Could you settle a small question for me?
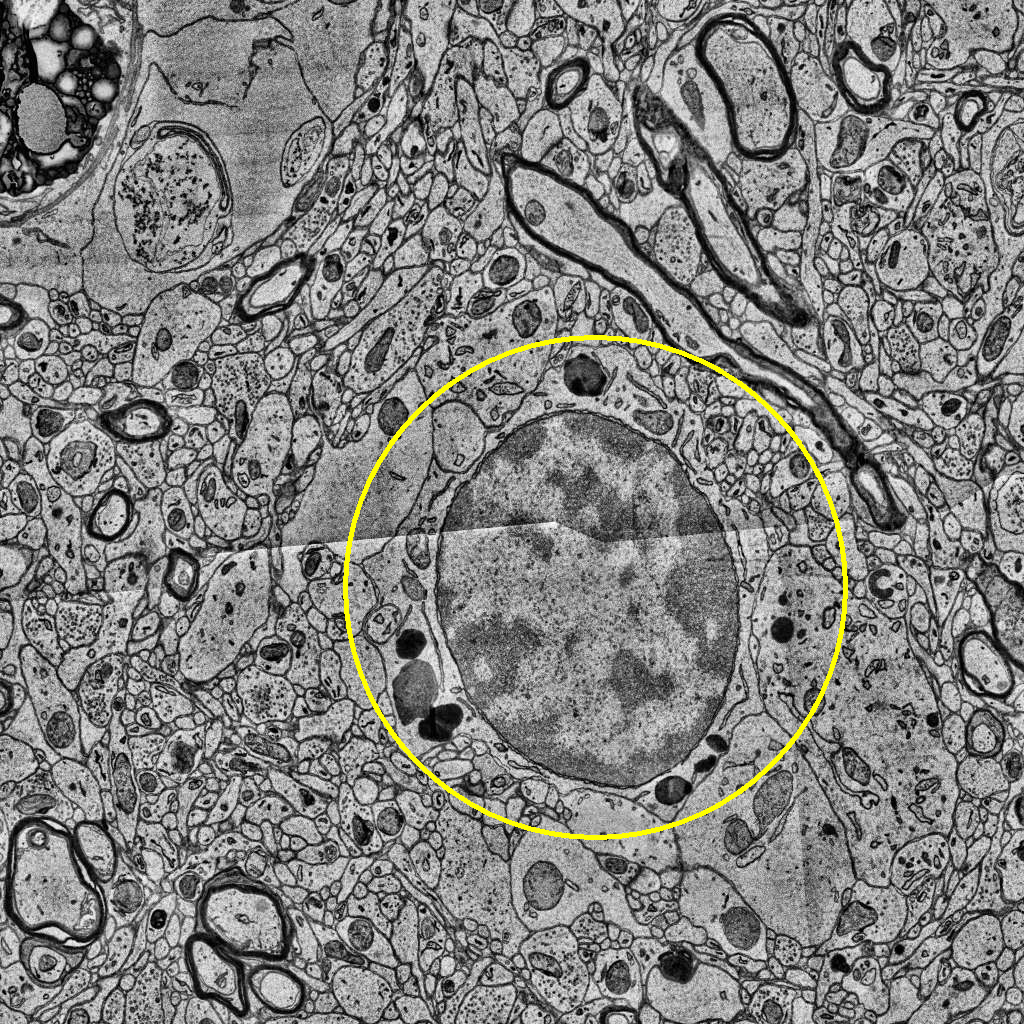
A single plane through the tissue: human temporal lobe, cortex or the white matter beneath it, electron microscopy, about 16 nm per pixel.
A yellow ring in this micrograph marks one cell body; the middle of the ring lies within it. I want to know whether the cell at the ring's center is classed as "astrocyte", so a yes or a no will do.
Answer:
no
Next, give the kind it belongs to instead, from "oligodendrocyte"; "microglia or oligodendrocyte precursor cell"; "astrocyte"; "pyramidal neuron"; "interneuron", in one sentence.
The ring holds a microglial cell or oligodendrocyte precursor cell at its centre.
